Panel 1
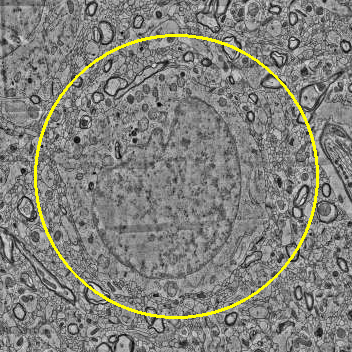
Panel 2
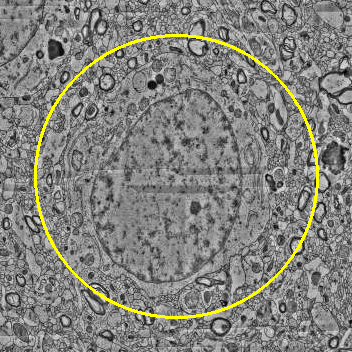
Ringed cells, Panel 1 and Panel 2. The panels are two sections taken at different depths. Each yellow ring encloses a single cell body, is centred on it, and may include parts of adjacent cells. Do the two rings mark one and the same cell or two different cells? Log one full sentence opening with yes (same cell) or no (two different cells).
Yes, only one cell is involved, and both rings mark it.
